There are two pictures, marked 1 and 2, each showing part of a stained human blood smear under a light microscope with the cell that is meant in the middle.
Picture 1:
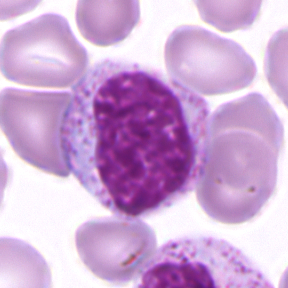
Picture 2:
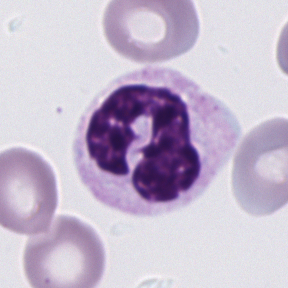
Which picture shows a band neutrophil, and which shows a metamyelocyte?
1: metamyelocyte
2: band neutrophil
